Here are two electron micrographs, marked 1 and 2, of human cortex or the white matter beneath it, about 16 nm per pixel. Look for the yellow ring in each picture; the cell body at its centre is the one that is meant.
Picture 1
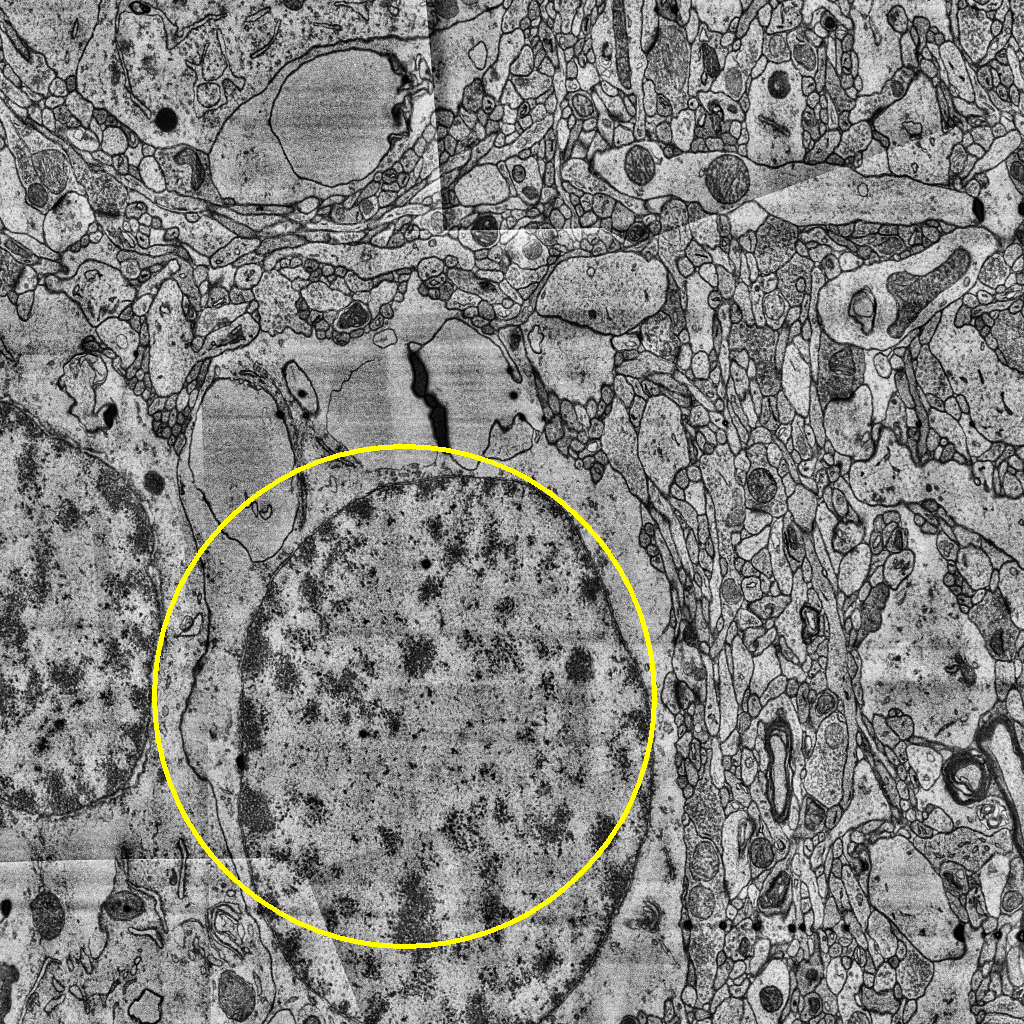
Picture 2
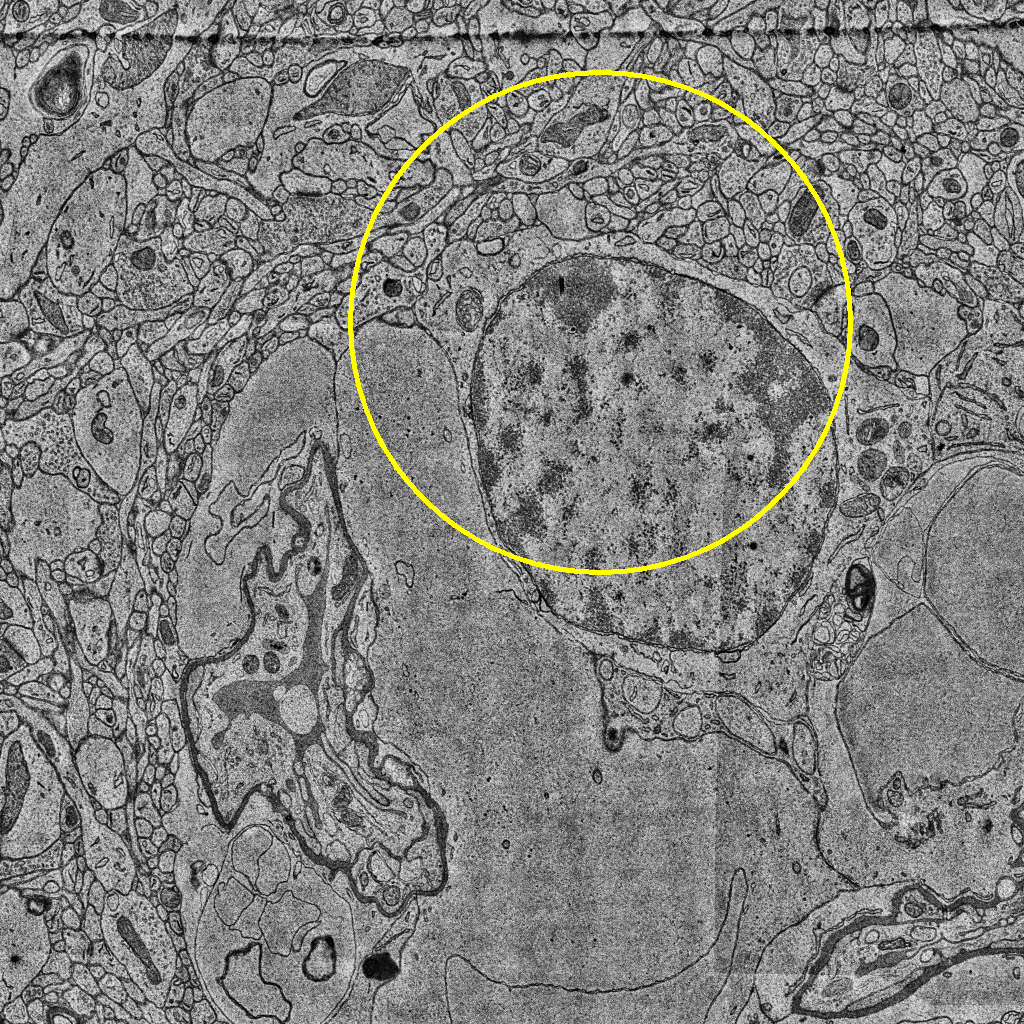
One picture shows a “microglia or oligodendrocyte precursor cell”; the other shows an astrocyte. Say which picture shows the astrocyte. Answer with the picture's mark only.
1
